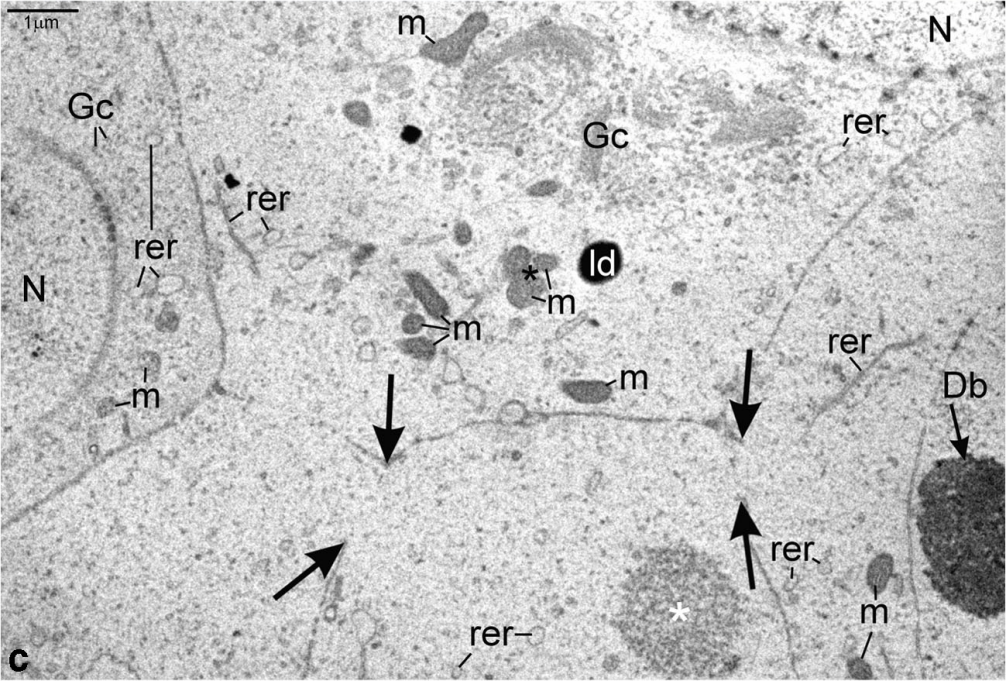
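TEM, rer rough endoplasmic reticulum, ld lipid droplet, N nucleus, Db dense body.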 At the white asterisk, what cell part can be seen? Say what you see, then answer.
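The white asterisk sits on a round, finely fibrillar, moderately dense mass in the cytoplasm. The mass has no surrounding membrane.
Fibrillar nuage.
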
